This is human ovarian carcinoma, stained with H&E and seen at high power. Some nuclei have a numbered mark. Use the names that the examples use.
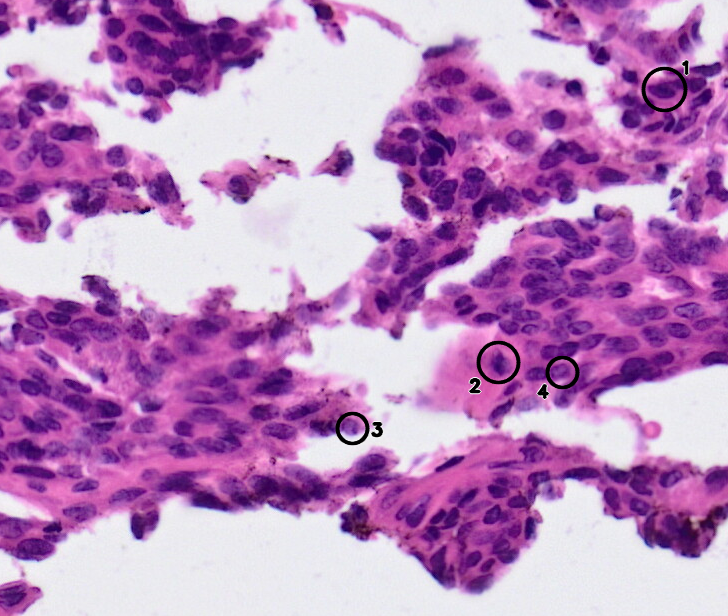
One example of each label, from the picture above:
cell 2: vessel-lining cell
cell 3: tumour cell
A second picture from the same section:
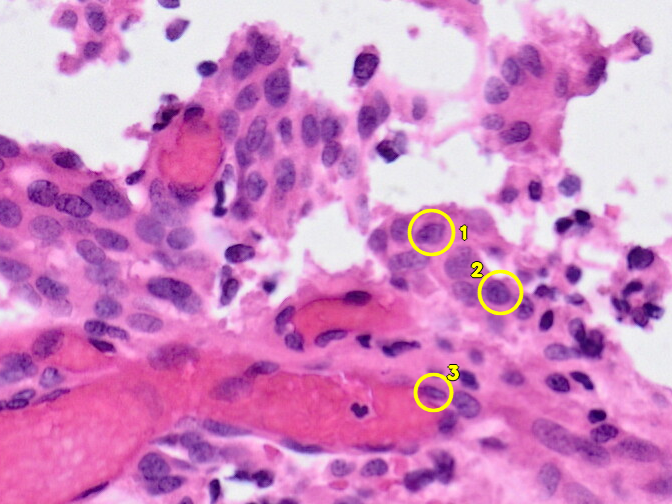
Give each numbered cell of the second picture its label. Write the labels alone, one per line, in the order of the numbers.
tumour cell
tumour cell
vessel-lining cell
